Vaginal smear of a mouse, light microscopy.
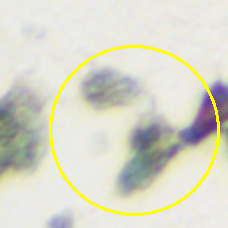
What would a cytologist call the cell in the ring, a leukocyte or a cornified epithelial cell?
A cytologist would call it a cornified epithelial cell.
